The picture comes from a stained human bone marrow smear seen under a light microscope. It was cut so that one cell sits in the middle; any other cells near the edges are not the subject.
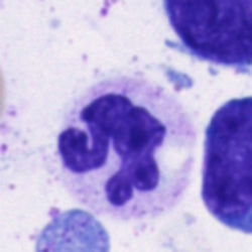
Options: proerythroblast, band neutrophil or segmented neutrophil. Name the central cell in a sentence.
The cell occupying the middle of the crop is a segmented neutrophil.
